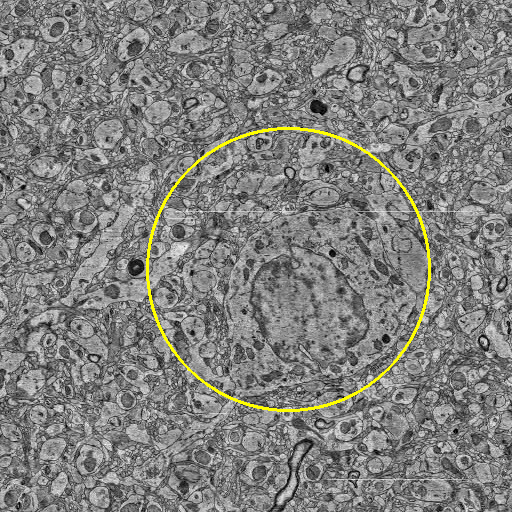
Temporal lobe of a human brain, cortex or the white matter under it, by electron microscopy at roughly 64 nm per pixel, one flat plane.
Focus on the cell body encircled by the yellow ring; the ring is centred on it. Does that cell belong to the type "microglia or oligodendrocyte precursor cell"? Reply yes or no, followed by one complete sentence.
No, the cell lying at the centre of the ring in the picture is another type.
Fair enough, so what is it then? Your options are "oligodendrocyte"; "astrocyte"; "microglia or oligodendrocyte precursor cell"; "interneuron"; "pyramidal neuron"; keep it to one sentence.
Instead, what sits at the centre of the ring is an interneuron.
